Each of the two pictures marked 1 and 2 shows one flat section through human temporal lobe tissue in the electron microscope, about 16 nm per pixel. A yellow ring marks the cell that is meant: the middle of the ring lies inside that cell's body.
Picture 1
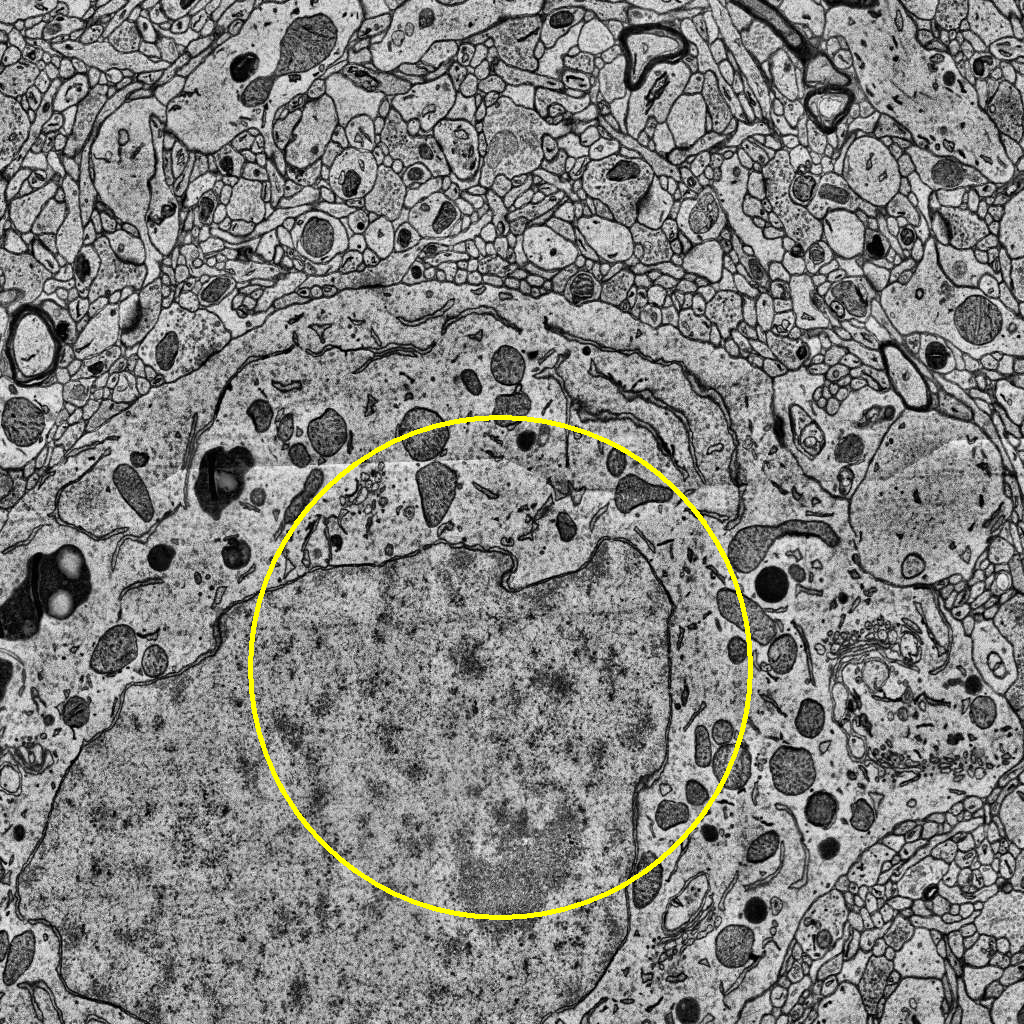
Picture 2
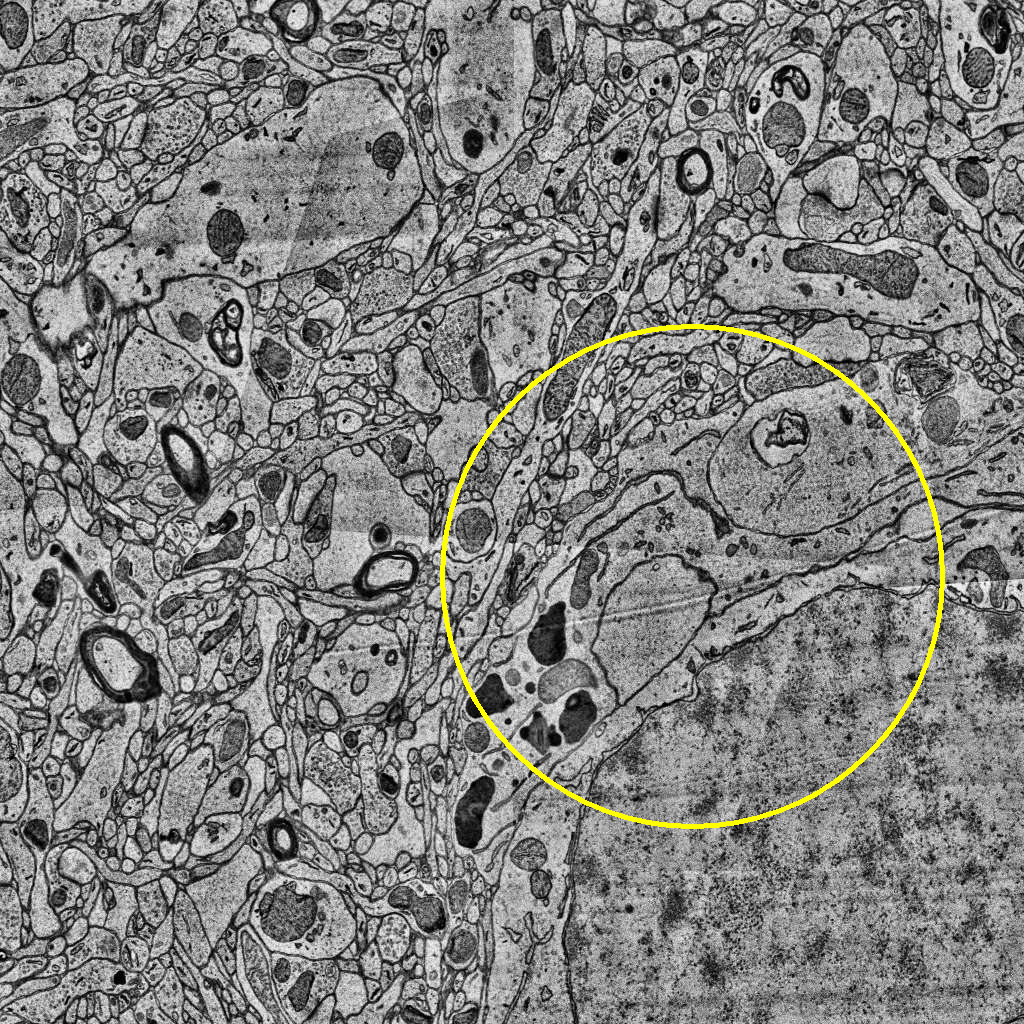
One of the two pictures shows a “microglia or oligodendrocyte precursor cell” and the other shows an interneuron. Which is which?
It is picture 1 that shows an interneuron, and picture 2 that shows a “microglia or oligodendrocyte precursor cell”.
